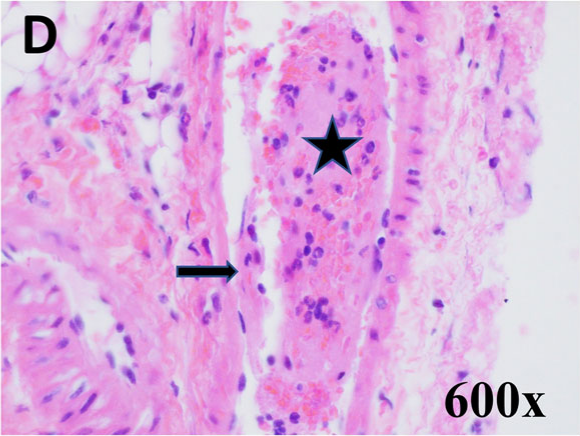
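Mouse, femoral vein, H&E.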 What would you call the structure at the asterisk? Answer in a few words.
thrombus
